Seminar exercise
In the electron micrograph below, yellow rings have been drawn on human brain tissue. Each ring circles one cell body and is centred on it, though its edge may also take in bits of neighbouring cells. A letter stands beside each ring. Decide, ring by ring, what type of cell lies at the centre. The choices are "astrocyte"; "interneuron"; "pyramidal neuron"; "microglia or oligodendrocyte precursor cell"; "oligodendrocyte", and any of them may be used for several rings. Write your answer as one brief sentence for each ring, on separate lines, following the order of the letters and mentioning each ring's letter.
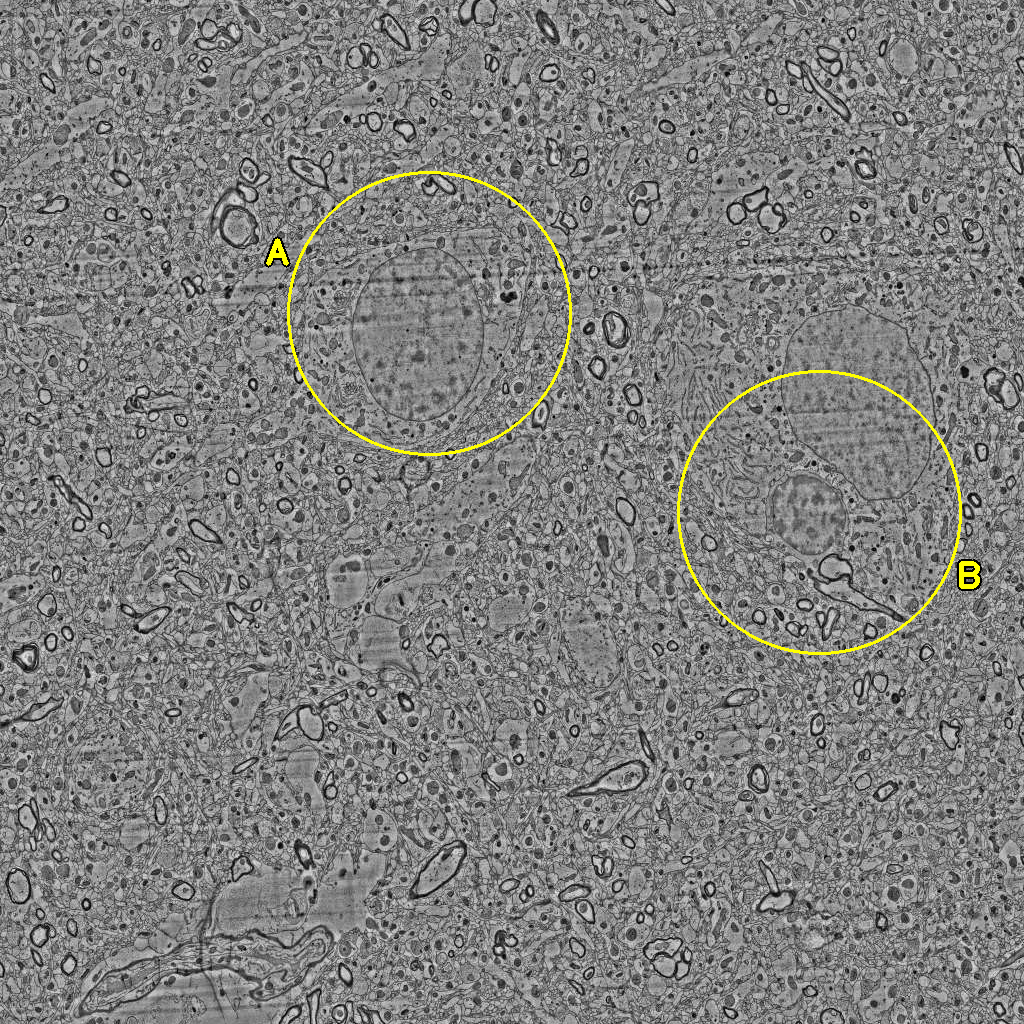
The cell in the middle of ring A is an interneuron.
The cell in the middle of ring B is an oligodendrocyte.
